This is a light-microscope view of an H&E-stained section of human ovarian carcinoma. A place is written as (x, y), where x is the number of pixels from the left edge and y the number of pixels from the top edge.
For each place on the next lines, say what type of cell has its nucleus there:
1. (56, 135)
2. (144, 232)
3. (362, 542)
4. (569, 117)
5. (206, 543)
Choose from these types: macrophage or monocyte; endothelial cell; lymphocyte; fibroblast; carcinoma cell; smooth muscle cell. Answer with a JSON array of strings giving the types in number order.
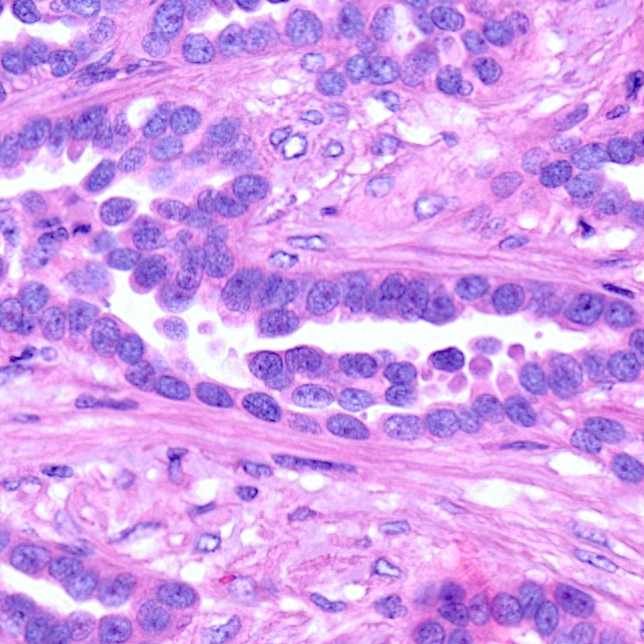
["carcinoma cell", "carcinoma cell", "fibroblast", "fibroblast", "fibroblast"]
